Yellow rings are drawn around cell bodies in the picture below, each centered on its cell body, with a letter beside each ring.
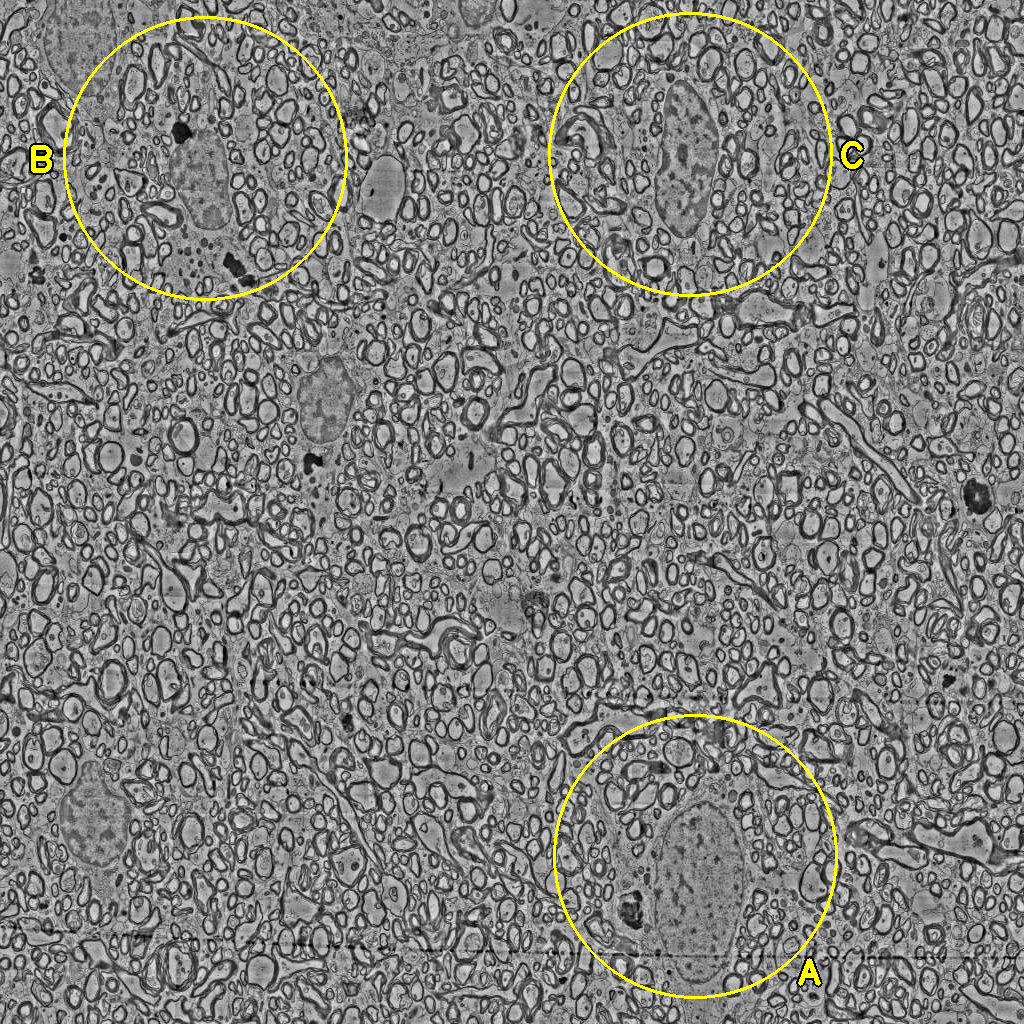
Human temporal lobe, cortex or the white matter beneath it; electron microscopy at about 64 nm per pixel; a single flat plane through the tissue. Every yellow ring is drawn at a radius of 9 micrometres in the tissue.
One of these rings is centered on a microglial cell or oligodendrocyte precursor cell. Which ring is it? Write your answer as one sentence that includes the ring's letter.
It is ring C.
